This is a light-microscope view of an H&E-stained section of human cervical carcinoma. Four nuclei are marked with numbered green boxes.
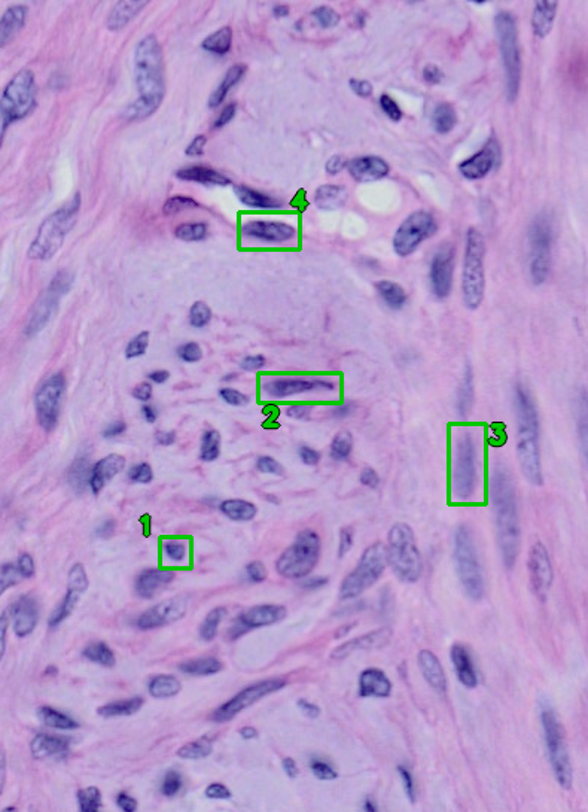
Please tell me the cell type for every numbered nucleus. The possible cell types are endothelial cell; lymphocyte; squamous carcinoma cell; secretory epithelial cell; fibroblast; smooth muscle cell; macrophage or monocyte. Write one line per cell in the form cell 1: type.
cell 1: smooth muscle cell
cell 2: smooth muscle cell
cell 3: fibroblast
cell 4: endothelial cell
